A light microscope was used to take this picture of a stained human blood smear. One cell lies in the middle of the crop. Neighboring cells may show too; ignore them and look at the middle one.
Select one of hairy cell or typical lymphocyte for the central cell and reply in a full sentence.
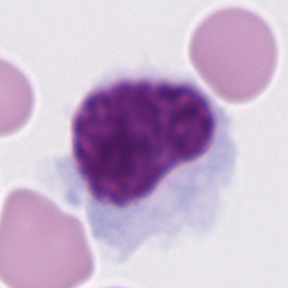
The cell nearest the centre of this crop is a hairy cell.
